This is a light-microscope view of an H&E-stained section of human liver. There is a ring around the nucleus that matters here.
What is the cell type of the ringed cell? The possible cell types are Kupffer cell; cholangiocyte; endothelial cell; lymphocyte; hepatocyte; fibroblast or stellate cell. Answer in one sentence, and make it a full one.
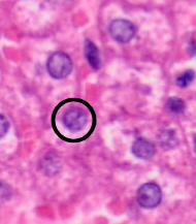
With respect to cell type, the ringed cell is a hepatocyte.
